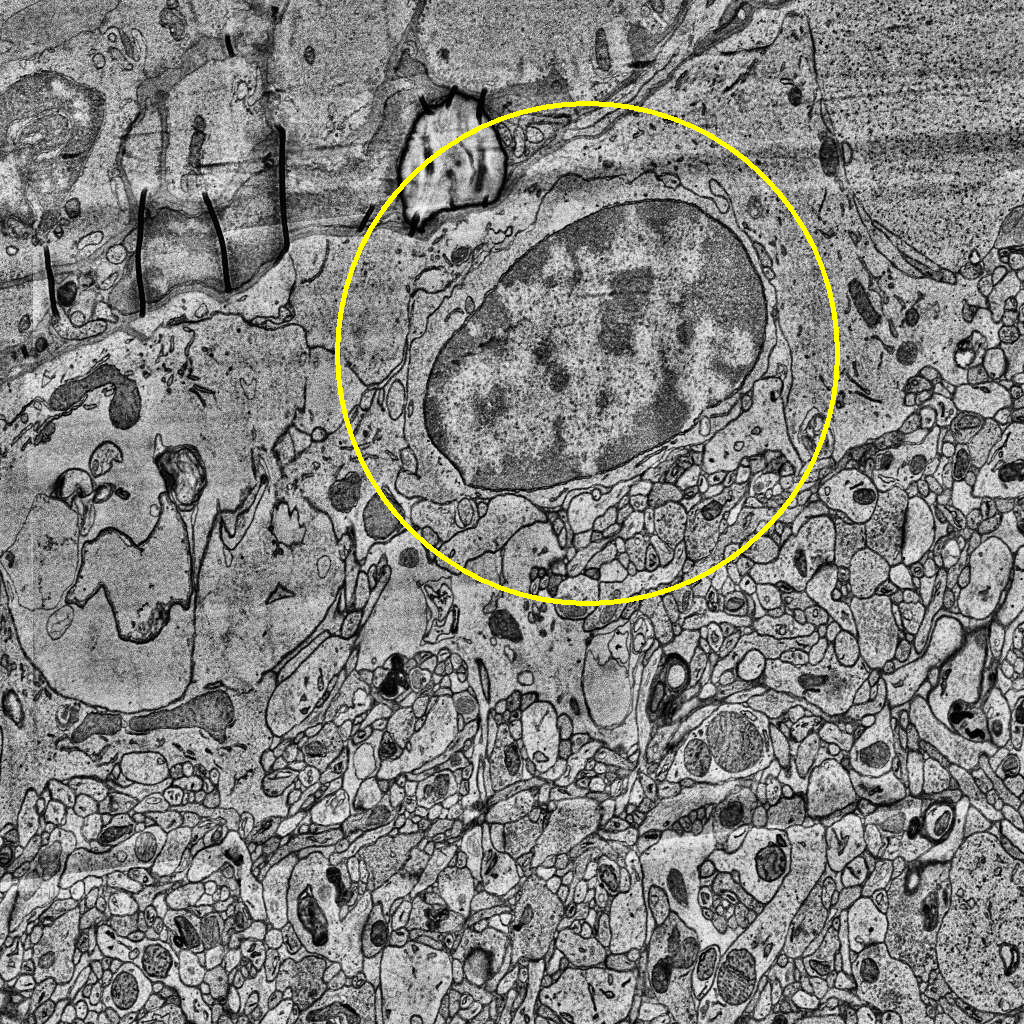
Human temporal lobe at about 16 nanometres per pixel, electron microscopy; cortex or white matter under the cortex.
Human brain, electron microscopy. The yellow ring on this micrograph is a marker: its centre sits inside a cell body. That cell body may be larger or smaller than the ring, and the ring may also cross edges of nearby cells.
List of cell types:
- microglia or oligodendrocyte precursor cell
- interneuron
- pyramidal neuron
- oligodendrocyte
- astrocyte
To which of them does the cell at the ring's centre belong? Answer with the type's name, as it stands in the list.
microglia or oligodendrocyte precursor cell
